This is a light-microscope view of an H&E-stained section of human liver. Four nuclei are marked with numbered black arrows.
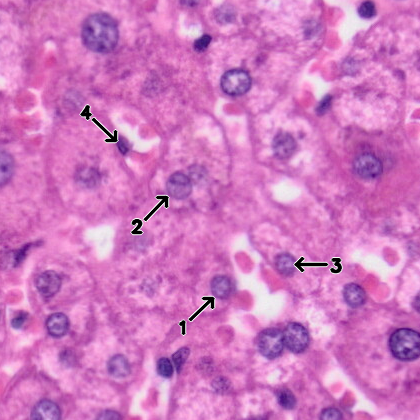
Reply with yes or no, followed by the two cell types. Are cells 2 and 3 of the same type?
Yes, both are hepatocytes.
